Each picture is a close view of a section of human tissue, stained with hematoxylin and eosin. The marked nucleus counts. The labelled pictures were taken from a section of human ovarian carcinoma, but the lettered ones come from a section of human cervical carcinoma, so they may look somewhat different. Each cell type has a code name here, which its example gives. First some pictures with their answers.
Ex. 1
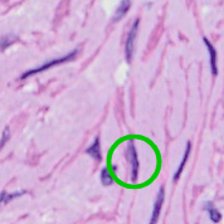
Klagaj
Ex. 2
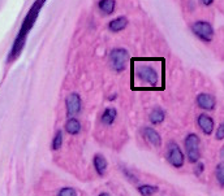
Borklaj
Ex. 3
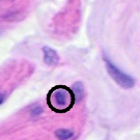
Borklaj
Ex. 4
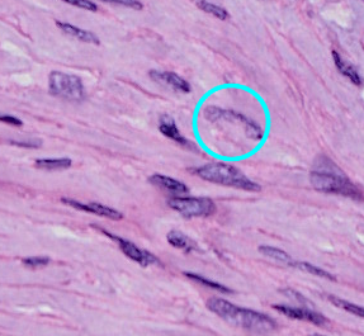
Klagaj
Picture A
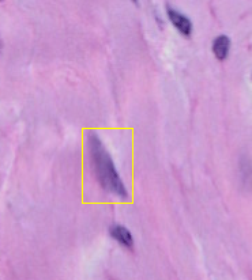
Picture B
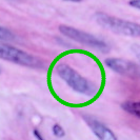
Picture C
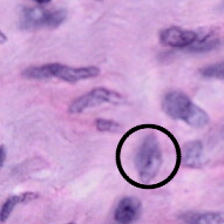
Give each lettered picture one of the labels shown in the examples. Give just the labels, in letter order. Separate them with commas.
Klagaj, Borklaj, Klagaj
